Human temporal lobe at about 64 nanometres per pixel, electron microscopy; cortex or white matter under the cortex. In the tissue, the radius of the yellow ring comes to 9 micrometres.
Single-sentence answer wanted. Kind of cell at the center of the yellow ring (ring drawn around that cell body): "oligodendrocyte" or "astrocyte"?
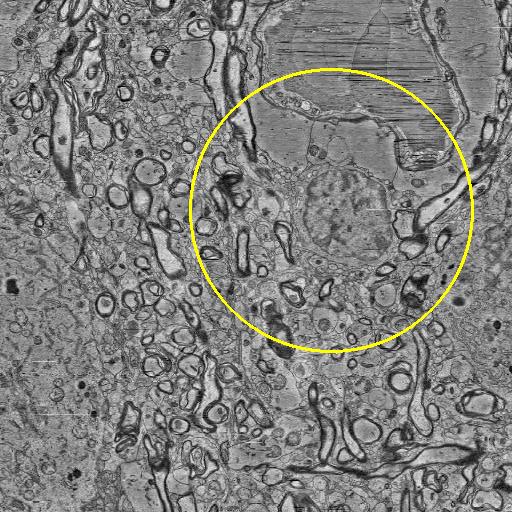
The cell centered in the ring is an oligodendrocyte.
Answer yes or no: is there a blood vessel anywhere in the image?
Yes, there is one.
